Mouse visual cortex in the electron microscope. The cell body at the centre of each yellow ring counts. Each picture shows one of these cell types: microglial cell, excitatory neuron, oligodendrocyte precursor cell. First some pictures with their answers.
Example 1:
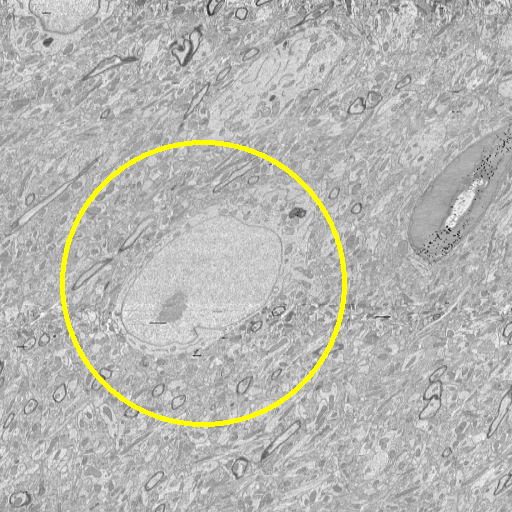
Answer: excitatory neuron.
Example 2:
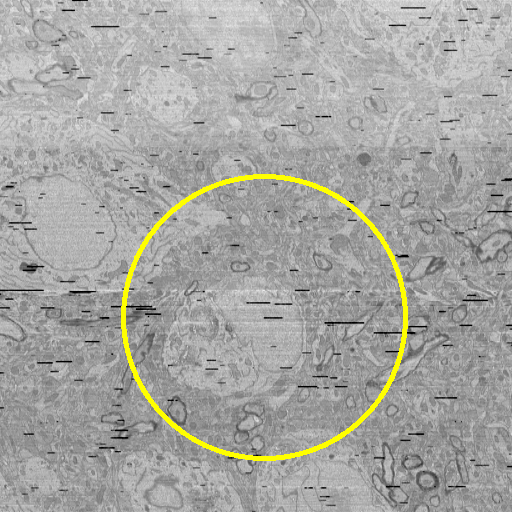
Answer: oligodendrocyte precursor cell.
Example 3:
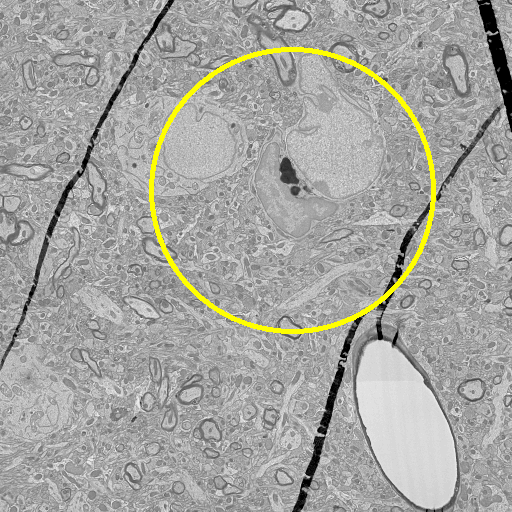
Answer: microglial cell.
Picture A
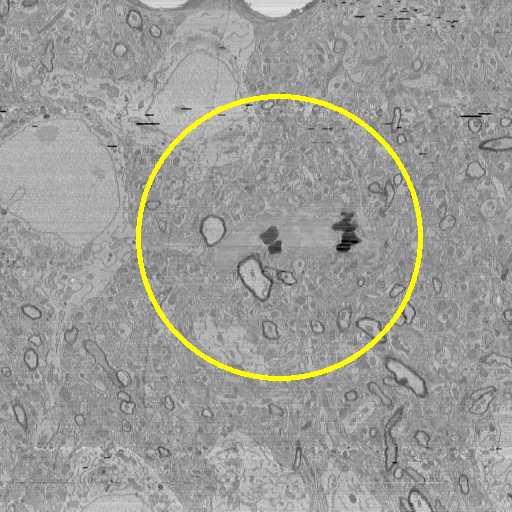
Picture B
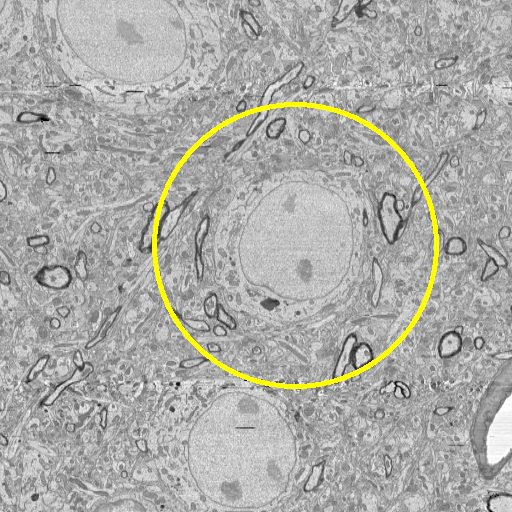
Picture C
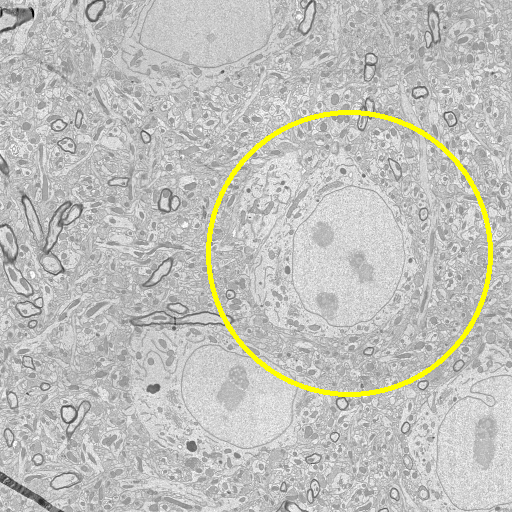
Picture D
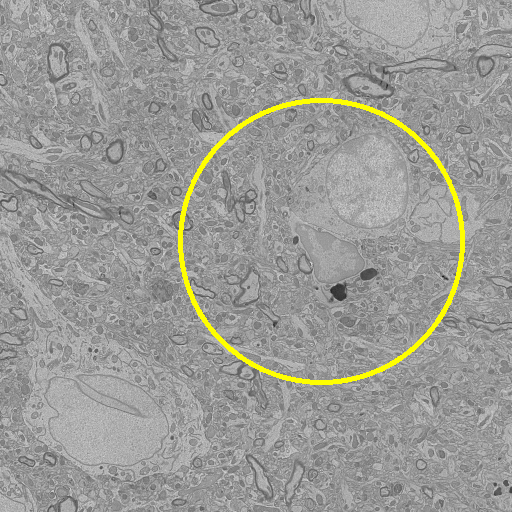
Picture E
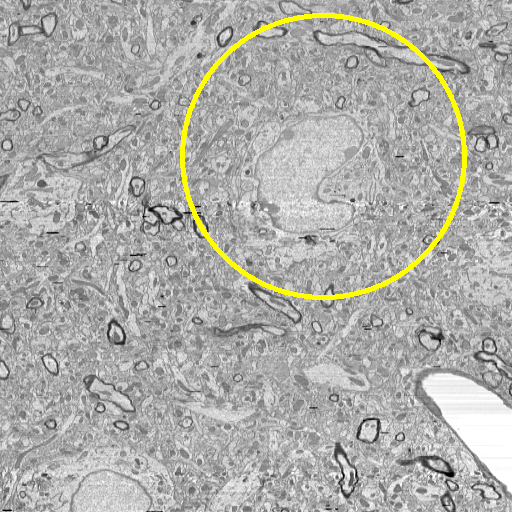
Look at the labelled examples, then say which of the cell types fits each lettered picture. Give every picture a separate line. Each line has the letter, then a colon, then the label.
A: microglial cell.
B: excitatory neuron.
C: excitatory neuron.
D: microglial cell.
E: oligodendrocyte precursor cell.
